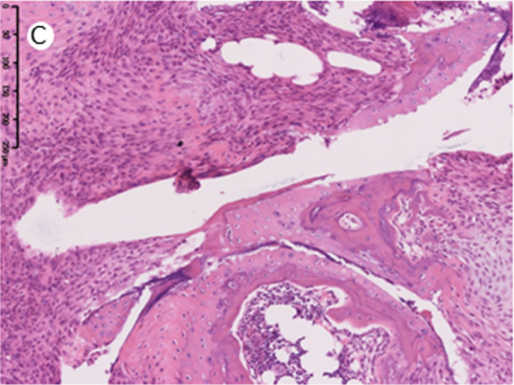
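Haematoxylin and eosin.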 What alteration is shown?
Infiltration with inflammatory cells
